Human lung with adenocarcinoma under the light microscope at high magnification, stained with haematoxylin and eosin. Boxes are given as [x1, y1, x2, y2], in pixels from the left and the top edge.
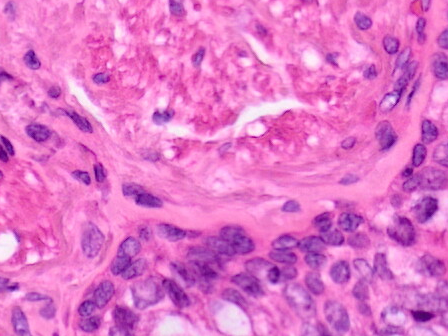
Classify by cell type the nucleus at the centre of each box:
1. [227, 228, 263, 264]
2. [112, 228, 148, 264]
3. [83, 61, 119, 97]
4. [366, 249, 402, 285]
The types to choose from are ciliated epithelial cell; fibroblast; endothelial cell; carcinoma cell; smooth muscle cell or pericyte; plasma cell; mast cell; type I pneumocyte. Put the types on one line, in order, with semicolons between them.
ciliated epithelial cell; ciliated epithelial cell; smooth muscle cell or pericyte; ciliated epithelial cell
